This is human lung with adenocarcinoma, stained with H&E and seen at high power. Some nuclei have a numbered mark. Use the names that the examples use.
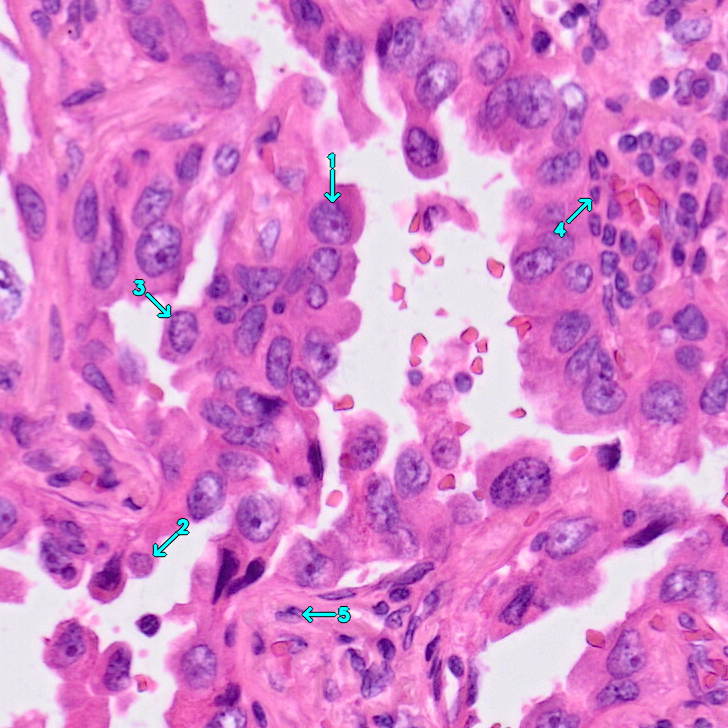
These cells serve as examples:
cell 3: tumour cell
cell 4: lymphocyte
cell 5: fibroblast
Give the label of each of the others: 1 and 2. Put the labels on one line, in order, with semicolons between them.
tumour cell; tumour cell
